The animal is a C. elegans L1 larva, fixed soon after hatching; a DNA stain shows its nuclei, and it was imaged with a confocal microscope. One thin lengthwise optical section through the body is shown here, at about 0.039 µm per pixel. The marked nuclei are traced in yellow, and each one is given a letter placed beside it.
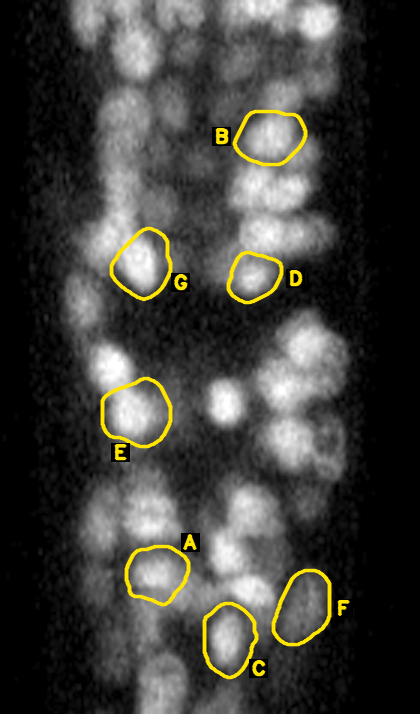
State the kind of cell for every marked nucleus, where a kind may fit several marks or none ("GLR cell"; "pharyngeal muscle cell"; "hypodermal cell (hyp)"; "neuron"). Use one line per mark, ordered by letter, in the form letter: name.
A: pharyngeal muscle cell
B: neuron
C: neuron
D: GLR cell
E: neuron
F: hypodermal cell (hyp)
G: GLR cell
